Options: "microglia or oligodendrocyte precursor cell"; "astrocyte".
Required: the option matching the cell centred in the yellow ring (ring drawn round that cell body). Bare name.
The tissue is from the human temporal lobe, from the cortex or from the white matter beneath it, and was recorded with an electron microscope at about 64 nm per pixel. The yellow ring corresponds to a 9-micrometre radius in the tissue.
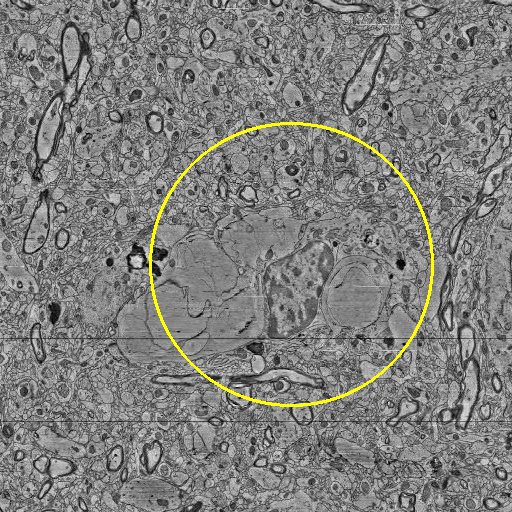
microglia or oligodendrocyte precursor cell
